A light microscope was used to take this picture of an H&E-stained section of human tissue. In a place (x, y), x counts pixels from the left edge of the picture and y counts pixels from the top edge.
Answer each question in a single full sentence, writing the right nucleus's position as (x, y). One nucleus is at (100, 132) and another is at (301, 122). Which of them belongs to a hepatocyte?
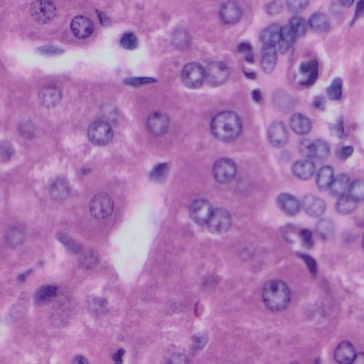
Of these two nuclei, only the one at (100, 132) belongs to a hepatocyte.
